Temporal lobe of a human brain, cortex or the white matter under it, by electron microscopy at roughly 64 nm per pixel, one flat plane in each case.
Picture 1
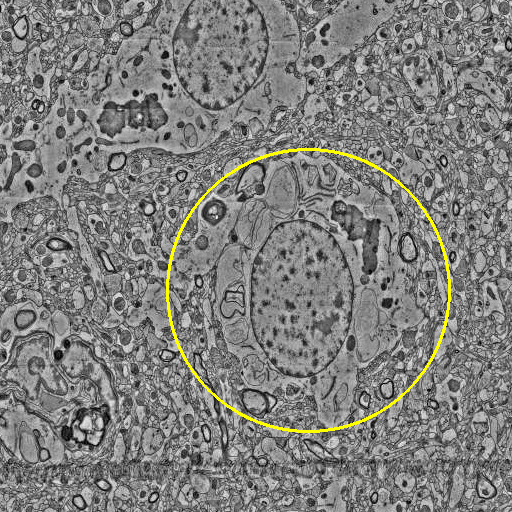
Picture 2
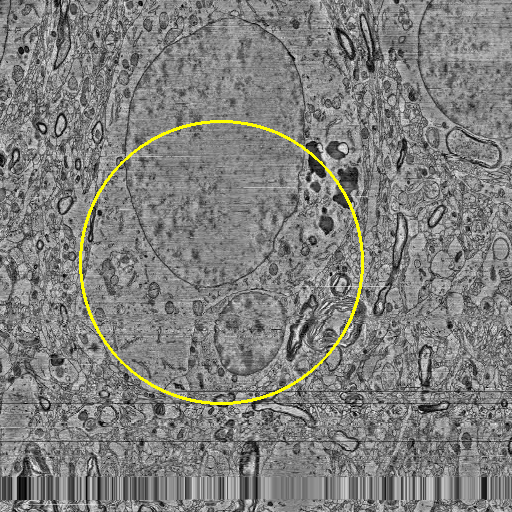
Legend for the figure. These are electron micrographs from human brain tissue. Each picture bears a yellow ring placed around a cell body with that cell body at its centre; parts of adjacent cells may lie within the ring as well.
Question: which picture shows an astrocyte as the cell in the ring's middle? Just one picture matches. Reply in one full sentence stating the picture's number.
It is picture 1 whose yellow ring is centred on the requested cell.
